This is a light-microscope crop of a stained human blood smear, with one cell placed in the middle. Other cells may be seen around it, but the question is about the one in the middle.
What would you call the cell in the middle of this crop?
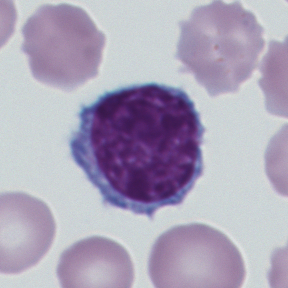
lymphocyte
